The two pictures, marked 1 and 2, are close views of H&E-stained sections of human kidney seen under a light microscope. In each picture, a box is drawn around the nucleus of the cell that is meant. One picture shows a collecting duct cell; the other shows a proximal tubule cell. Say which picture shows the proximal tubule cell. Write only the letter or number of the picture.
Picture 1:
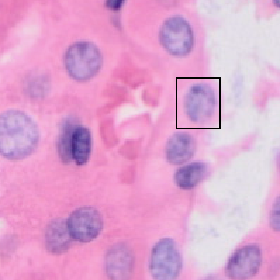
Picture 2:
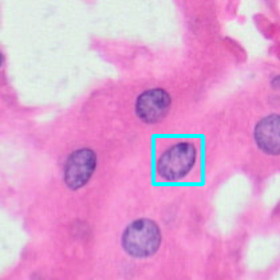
2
